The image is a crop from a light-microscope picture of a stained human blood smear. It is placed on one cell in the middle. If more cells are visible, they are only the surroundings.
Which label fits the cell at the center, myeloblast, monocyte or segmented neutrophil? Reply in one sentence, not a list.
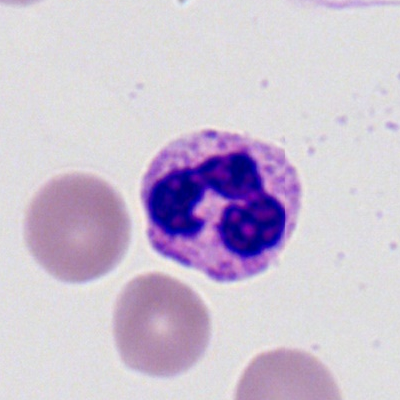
This crop is built around a segmented neutrophil at its centre.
